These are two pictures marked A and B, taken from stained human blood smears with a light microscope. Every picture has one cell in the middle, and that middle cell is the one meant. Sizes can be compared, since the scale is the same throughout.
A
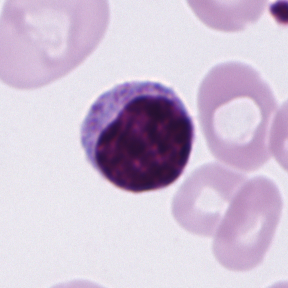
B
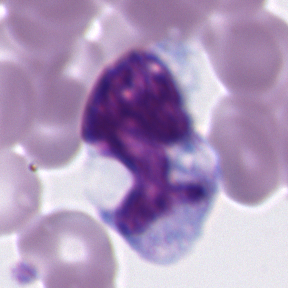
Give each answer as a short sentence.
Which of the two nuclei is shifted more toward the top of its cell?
The nucleus in crop B lies further toward the top of its cell.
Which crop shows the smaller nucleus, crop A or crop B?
It is the nucleus in crop A; the one in crop B has about 1.5 times its area.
